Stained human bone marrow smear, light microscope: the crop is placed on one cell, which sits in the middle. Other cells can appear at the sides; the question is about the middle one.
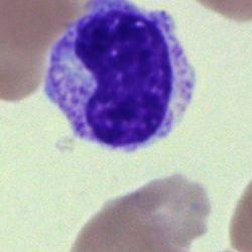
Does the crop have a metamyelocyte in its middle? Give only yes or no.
yes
